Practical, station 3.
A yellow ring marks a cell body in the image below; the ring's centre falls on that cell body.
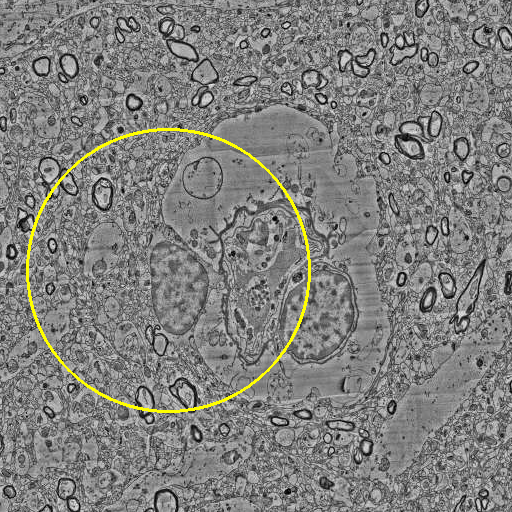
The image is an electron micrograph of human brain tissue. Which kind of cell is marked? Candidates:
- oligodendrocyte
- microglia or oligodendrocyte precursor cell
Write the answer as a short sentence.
The marked cell body is that of an oligodendrocyte.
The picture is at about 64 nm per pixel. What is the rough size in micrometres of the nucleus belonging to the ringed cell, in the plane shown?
In this plane, about 6 by 4 micrometres: the nucleus is clearly longer than it is wide.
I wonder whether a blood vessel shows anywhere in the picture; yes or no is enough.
Yes, a vessel appears in the picture.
